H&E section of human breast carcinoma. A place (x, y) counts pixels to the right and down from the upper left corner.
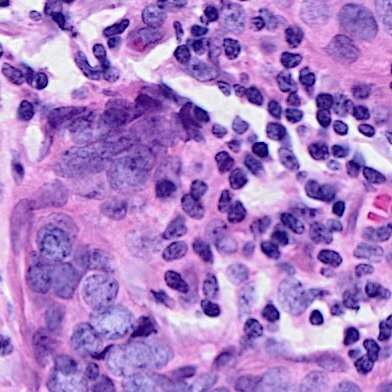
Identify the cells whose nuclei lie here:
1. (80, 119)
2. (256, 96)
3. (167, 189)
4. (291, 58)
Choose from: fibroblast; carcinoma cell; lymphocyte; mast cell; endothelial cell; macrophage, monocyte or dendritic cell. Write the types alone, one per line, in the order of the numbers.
carcinoma cell
lymphocyte
lymphocyte
lymphocyte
